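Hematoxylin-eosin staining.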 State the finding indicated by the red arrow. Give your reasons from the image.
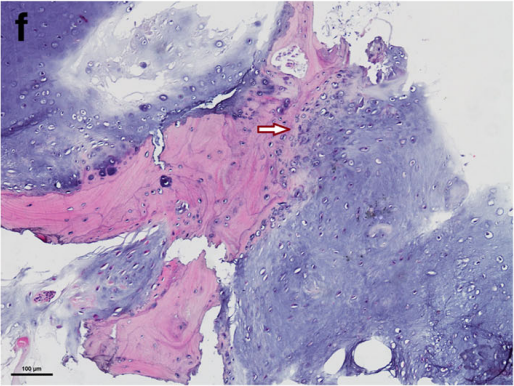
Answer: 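Endochondral ossification. Pink bony trabeculae lie among blue-purple cartilage. The arrow points at the border where cartilage meets pink bone.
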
